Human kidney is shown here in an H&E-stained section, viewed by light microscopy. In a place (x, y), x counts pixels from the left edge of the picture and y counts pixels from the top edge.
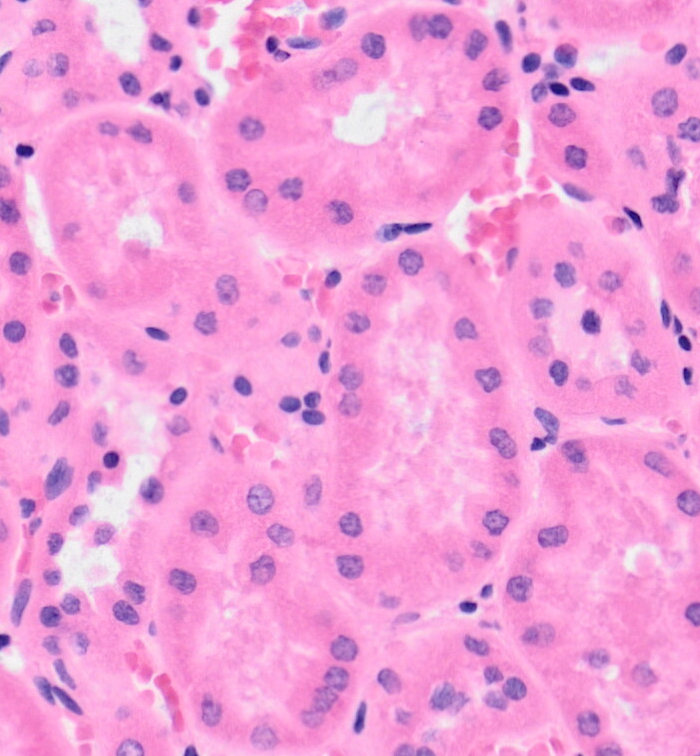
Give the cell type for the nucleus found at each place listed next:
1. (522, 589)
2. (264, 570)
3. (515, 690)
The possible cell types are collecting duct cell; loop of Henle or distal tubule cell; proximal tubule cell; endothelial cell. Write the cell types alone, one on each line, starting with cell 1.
proximal tubule cell
proximal tubule cell
loop of Henle or distal tubule cell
